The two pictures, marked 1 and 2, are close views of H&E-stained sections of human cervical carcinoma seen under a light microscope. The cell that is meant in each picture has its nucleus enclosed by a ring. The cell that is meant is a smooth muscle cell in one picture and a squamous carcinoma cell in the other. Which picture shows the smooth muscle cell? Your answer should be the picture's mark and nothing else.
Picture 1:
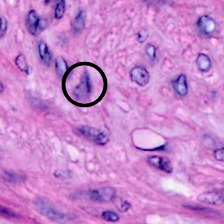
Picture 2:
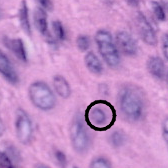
1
